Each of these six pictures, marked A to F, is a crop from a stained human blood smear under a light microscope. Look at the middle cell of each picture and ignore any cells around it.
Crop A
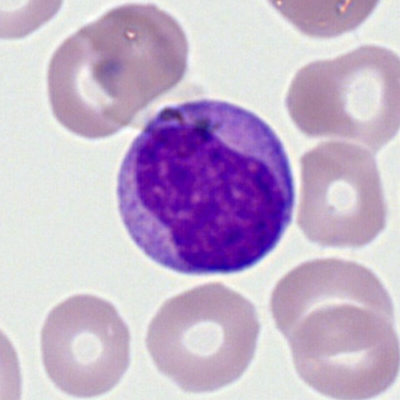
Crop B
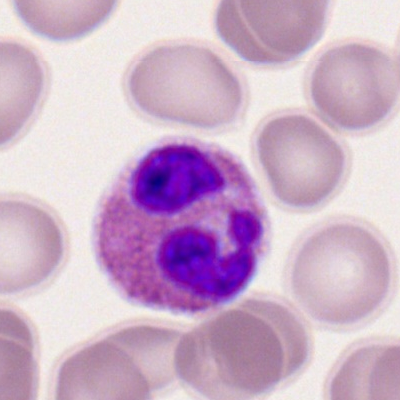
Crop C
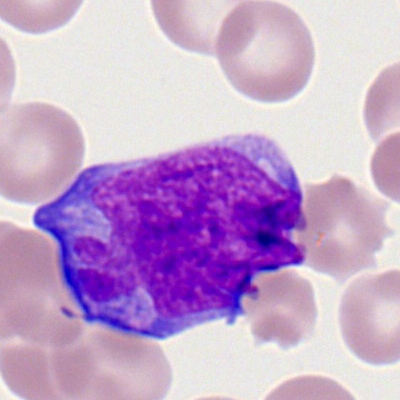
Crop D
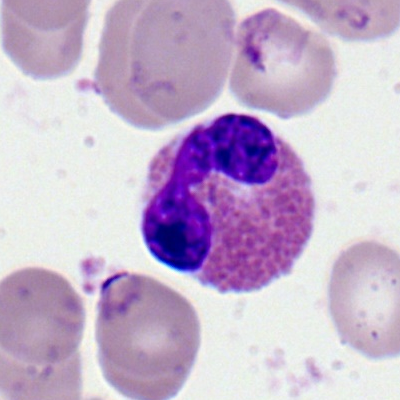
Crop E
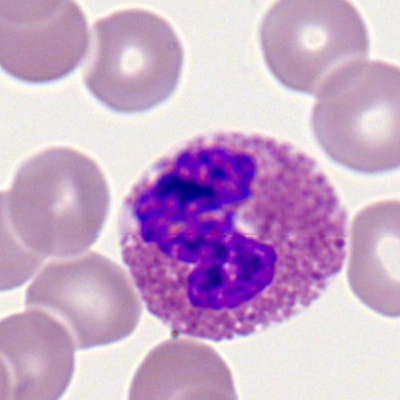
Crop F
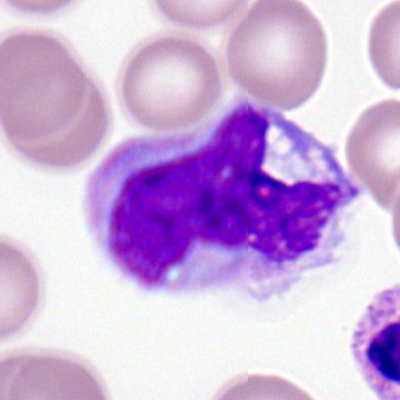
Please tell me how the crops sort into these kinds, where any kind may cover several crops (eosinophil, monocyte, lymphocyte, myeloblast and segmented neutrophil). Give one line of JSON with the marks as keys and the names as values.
{"A": "myeloblast", "B": "eosinophil", "C": "myeloblast", "D": "eosinophil", "E": "eosinophil", "F": "monocyte"}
